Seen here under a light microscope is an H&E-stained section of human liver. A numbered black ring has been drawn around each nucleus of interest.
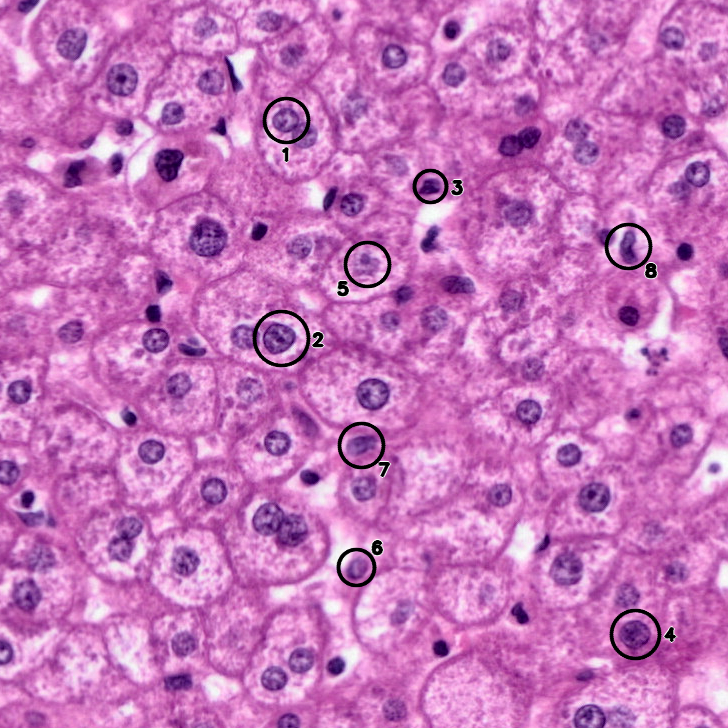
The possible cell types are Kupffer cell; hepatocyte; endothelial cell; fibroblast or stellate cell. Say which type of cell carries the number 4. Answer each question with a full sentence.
The cell whose nucleus carries the number 4 is a hepatocyte.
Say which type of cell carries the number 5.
The nucleus with number 5 is that of a hepatocyte.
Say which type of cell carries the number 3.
Identified by the number 3, the cell is a fibroblast or stellate cell.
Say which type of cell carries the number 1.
The cell pointed out as number 1 is a hepatocyte.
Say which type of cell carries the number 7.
Here the cell numbered 7 is an endothelial cell.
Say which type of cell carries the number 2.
The cell indicated by marker 2 is a hepatocyte in this section.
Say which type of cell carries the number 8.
Cell 8 is classified as a Kupffer cell.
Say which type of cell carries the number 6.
In this section, the cell tagged 6 is a Kupffer cell.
